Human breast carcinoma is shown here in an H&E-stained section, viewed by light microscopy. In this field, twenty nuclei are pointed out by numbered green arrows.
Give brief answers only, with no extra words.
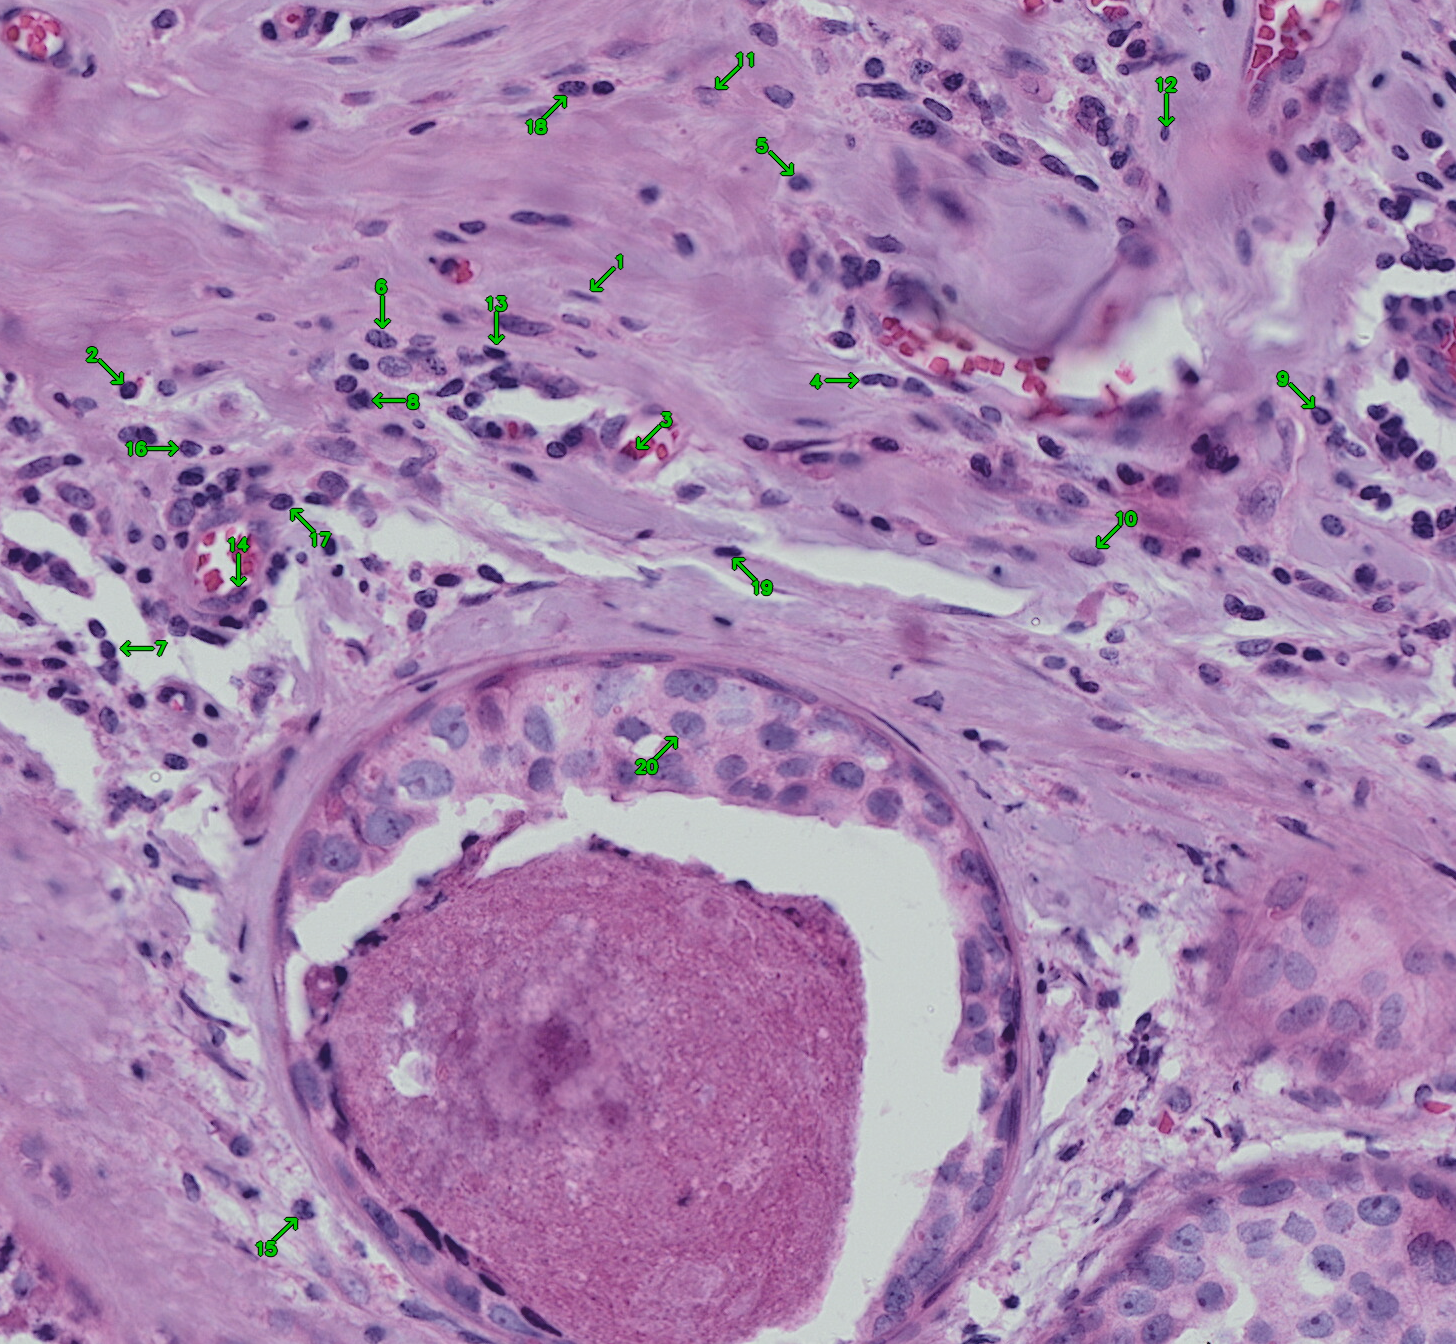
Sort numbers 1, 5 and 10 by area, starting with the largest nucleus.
10, 5, 1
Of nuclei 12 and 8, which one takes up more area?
8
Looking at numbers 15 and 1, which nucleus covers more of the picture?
15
